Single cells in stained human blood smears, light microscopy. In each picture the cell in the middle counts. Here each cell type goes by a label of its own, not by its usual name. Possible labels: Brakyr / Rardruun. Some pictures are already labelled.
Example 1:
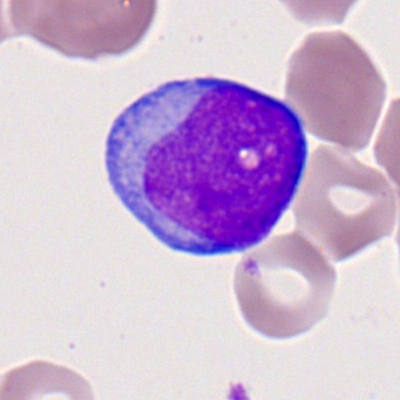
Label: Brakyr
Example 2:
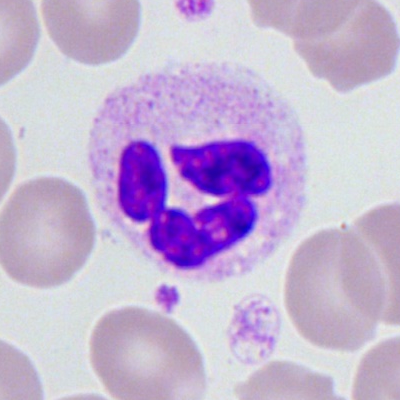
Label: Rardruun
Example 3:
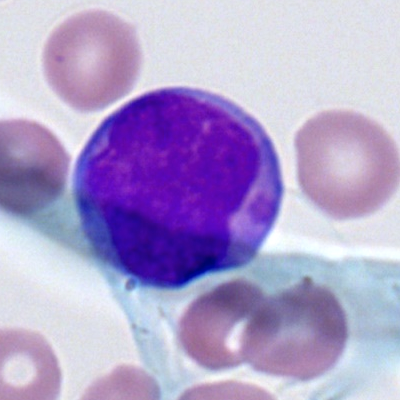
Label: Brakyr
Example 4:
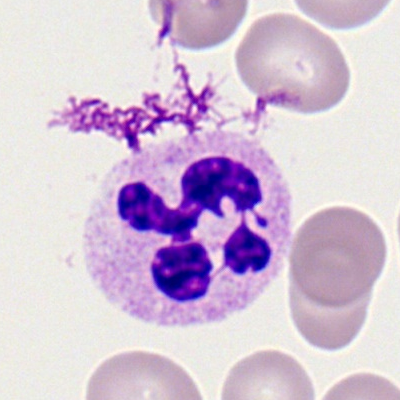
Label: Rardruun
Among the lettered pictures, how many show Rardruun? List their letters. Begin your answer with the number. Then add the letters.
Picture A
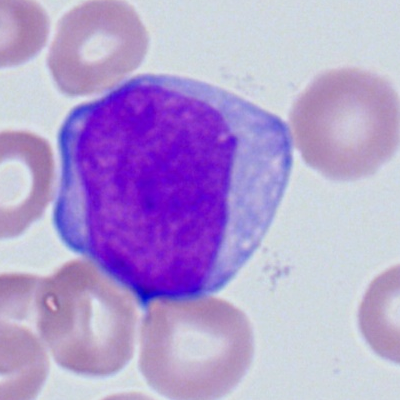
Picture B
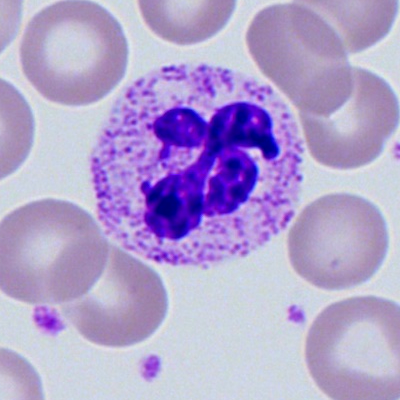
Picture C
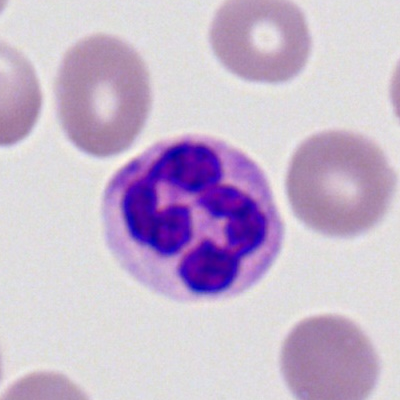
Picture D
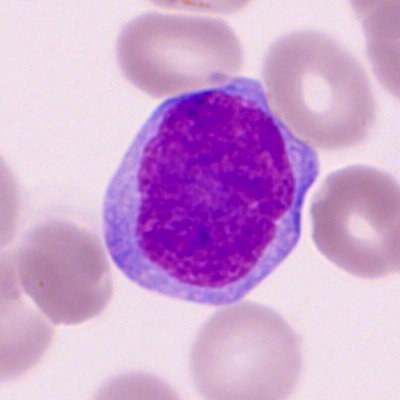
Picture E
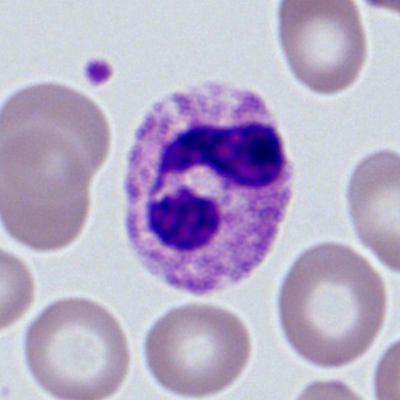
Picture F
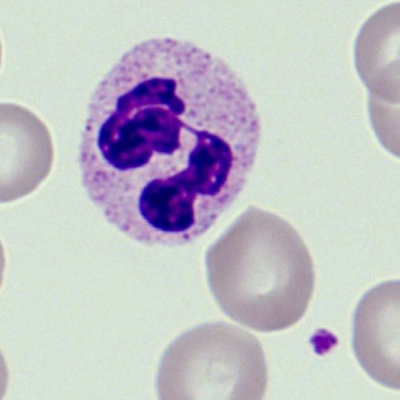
4: B, C, E, F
